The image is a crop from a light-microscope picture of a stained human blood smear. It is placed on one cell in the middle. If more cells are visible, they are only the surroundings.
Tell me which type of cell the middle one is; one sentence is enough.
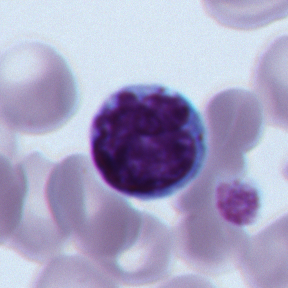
The cell sitting right in the middle is a lymphocyte.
